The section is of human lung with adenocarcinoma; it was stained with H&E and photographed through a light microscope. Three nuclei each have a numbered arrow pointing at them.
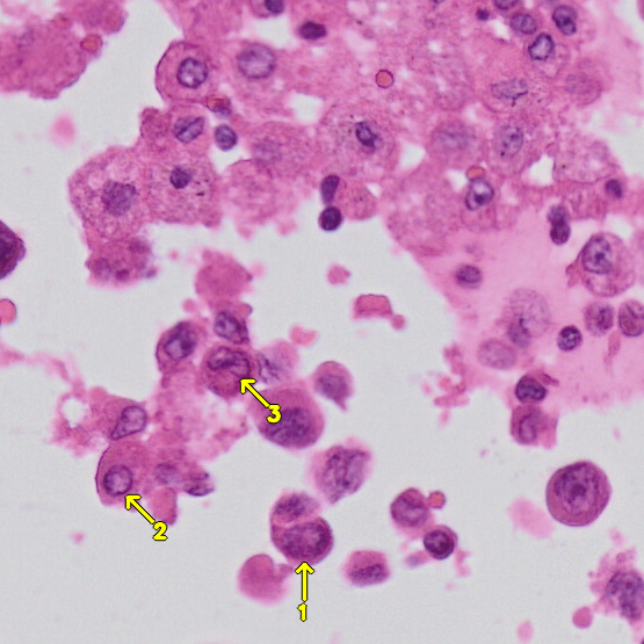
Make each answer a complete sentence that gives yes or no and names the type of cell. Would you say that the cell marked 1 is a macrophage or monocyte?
No, cell 1 is identified not as a macrophage or monocyte but as a carcinoma cell.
